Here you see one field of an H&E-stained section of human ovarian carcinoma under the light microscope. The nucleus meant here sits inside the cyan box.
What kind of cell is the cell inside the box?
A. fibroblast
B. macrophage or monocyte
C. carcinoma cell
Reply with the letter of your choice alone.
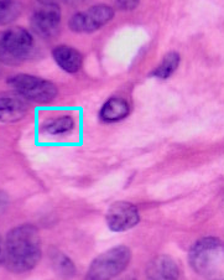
B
